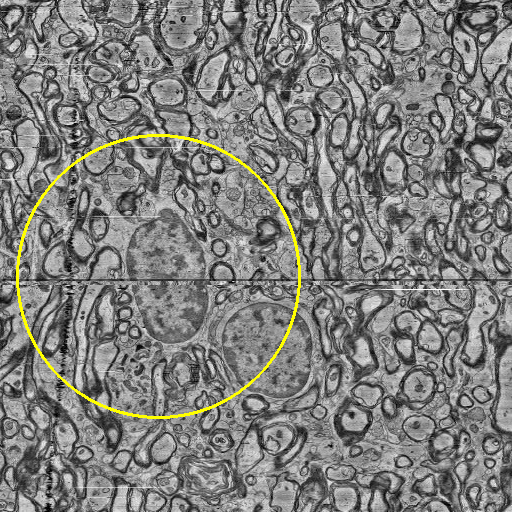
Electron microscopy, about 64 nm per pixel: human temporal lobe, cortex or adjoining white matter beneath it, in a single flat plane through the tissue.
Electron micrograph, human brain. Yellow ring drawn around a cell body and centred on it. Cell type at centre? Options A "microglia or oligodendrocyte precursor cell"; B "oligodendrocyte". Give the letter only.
A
